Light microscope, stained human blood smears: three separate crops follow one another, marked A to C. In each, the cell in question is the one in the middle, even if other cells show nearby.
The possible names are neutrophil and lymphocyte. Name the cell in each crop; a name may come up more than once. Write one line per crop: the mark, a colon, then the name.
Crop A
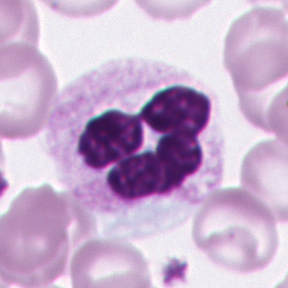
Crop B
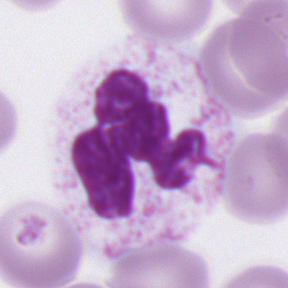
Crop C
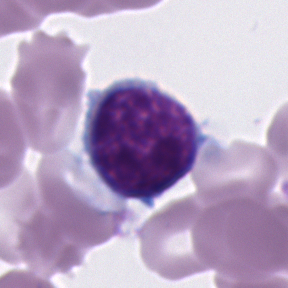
A: neutrophil
B: neutrophil
C: lymphocyte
